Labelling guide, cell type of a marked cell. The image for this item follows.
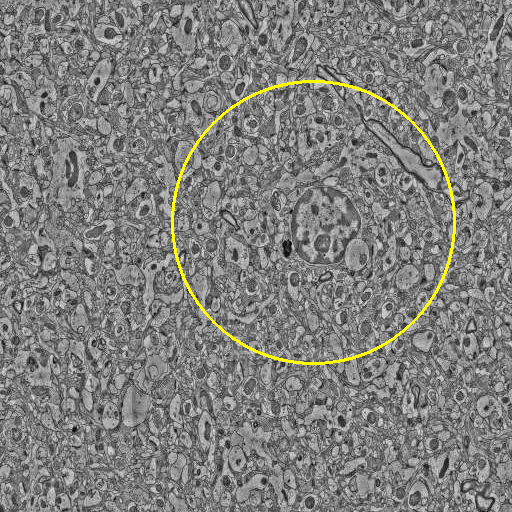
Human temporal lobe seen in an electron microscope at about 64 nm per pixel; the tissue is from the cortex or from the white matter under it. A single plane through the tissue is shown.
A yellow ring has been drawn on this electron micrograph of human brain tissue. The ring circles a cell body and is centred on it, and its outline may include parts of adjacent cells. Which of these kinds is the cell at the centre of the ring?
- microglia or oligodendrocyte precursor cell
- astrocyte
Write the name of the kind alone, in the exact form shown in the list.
microglia or oligodendrocyte precursor cell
